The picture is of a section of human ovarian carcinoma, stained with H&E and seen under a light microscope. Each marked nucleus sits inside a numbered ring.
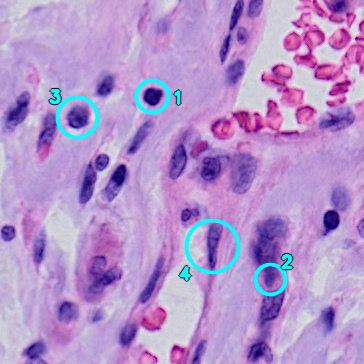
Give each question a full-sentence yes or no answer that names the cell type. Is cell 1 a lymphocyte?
Yes, the number 1 belongs to a lymphocyte.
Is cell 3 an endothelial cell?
No, number 3 does not mark an endothelial cell; it marks a lymphocyte.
